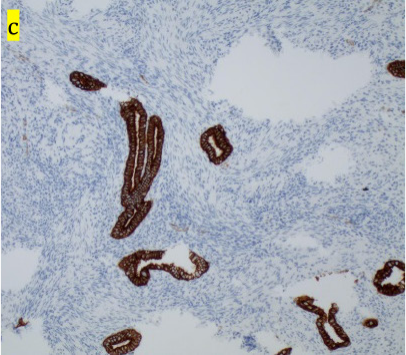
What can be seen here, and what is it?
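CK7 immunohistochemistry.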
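Scattered glands in spindle-cell tissue, their epithelial lining stained solid brown. The surrounding stroma of densely packed spindle cells with blue nuclei is unstained. Several empty clefts and spaces lie in the stroma between the glands.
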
